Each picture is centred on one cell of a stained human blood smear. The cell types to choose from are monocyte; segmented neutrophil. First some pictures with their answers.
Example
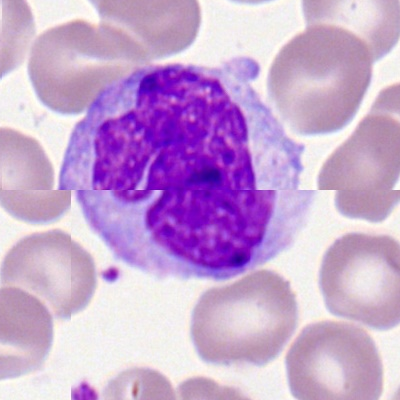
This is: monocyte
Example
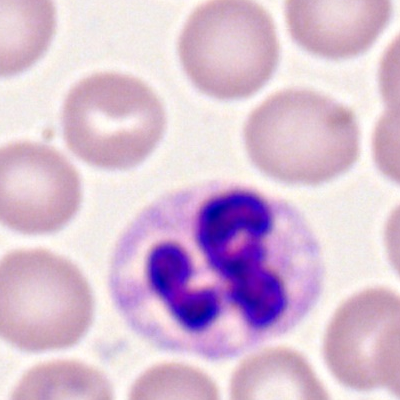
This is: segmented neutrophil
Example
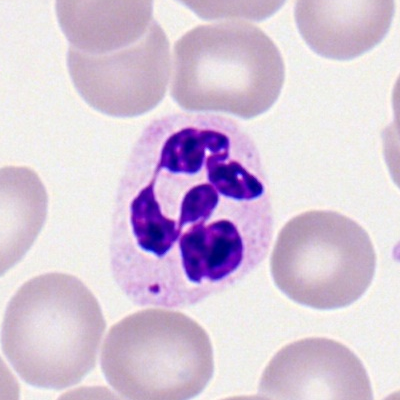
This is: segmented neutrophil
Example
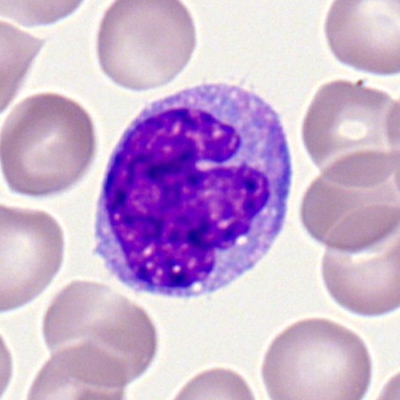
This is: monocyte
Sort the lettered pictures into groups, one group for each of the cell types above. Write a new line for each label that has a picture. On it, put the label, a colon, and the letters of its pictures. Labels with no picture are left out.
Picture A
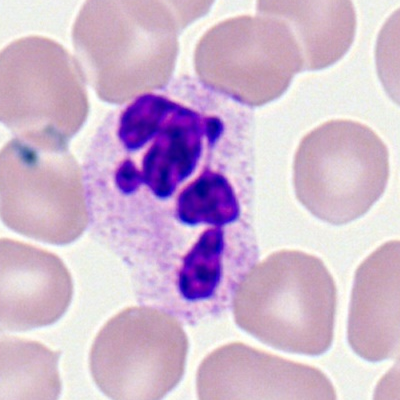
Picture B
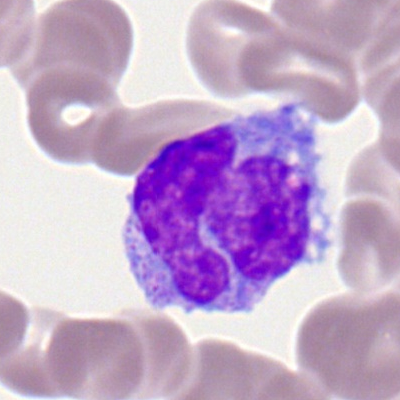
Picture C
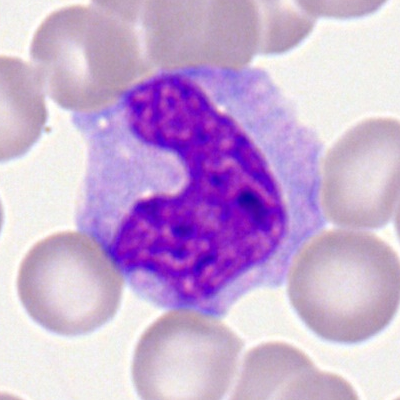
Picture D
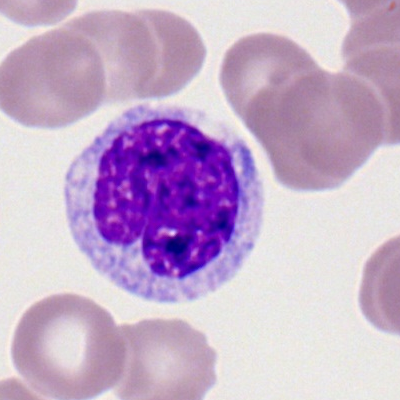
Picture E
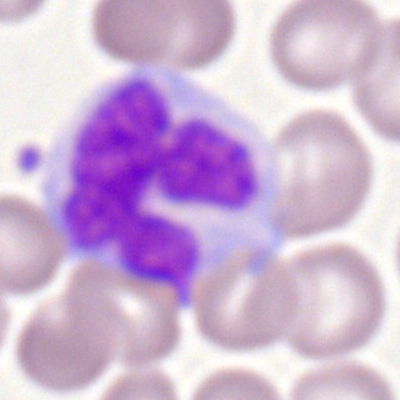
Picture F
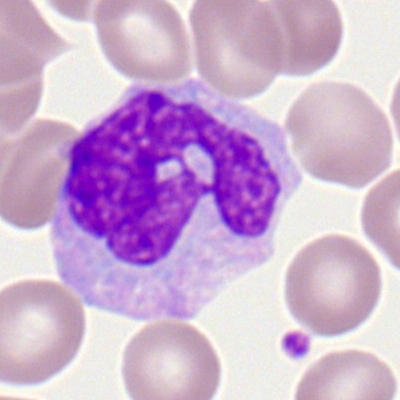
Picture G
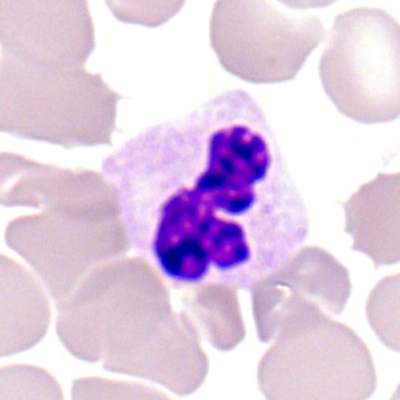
monocyte: B, C, D, E, F
segmented neutrophil: A, G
